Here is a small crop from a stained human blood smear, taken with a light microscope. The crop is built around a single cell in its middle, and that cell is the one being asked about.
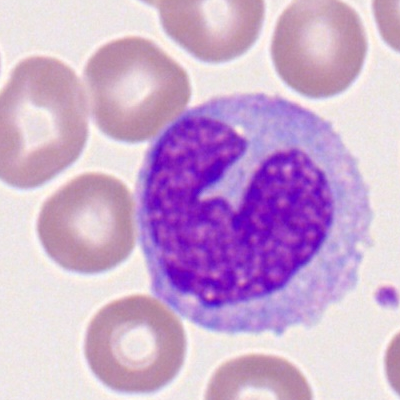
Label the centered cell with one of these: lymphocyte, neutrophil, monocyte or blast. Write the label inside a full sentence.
The cell around which this crop is centred is a monocyte.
